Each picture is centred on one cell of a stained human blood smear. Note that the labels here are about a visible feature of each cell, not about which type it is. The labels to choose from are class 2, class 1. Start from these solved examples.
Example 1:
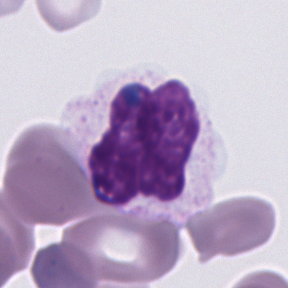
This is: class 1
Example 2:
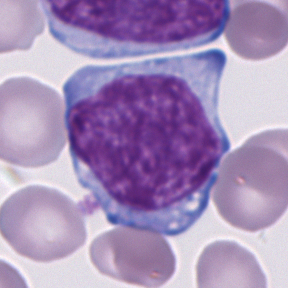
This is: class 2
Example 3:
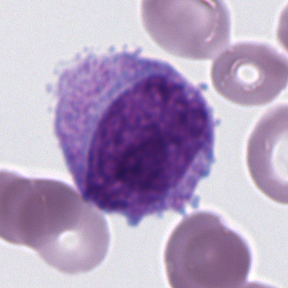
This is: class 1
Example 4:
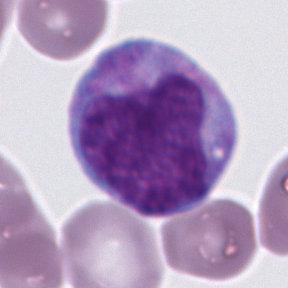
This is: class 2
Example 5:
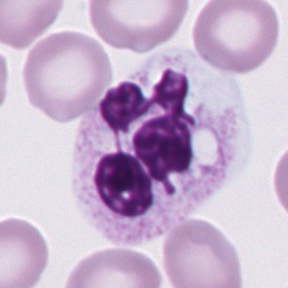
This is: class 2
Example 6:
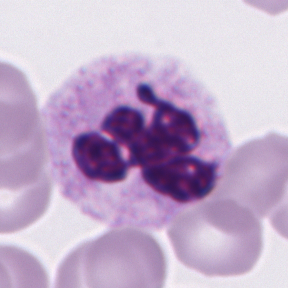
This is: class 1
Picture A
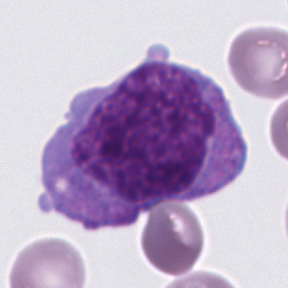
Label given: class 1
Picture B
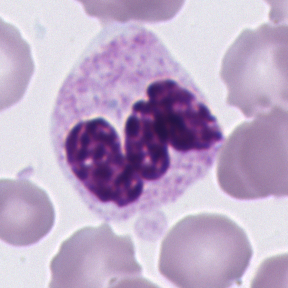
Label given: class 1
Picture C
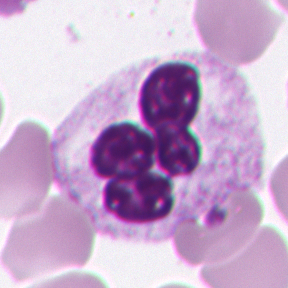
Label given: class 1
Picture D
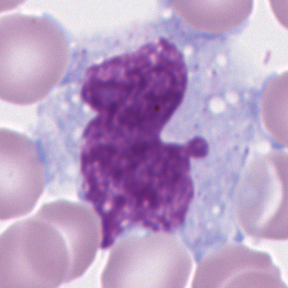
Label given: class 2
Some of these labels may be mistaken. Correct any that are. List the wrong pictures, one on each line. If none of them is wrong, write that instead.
A is labelled class 1; correct label: class 2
